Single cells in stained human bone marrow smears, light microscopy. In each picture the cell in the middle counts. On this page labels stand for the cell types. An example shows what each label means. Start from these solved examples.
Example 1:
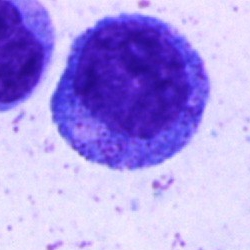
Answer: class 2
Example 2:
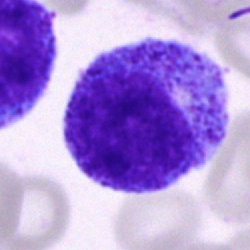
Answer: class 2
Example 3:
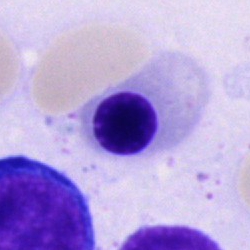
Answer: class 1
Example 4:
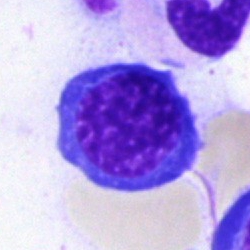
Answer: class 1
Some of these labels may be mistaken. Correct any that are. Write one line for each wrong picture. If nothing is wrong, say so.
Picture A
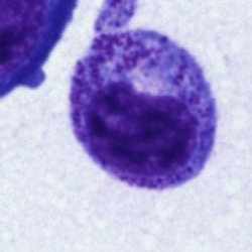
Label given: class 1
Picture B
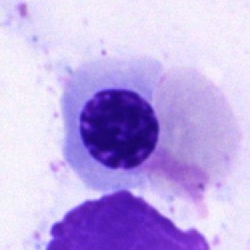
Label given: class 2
A: change class 1 to class 2
B: change class 2 to class 1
